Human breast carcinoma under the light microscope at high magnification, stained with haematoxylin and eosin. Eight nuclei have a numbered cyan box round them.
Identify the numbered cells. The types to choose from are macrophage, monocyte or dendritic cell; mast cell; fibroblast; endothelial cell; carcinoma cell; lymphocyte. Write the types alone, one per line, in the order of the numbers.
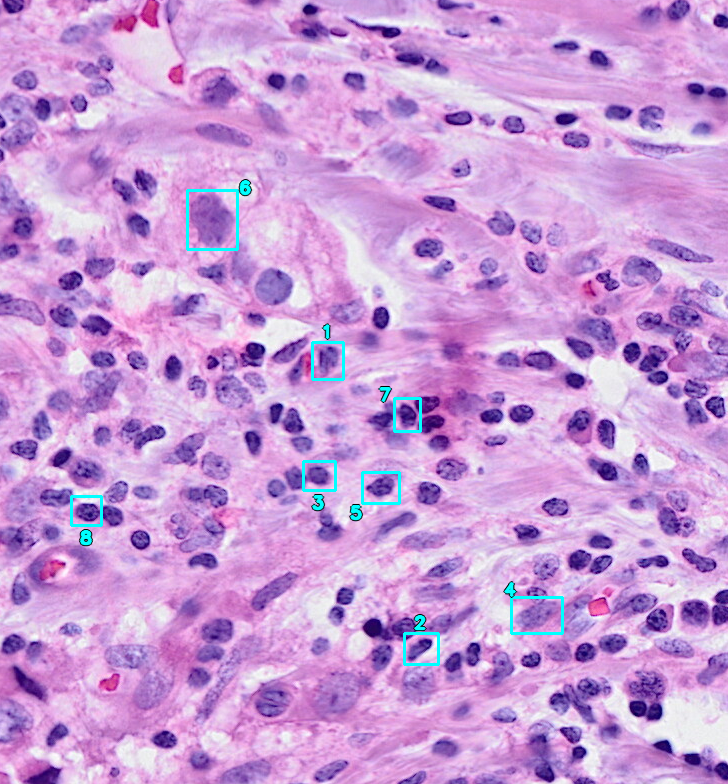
endothelial cell
lymphocyte
lymphocyte
endothelial cell
lymphocyte
carcinoma cell
lymphocyte
lymphocyte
